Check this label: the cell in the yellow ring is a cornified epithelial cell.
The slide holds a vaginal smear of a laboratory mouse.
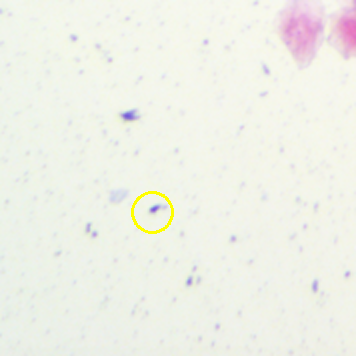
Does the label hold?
The label does not hold; the cell is a leukocyte.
